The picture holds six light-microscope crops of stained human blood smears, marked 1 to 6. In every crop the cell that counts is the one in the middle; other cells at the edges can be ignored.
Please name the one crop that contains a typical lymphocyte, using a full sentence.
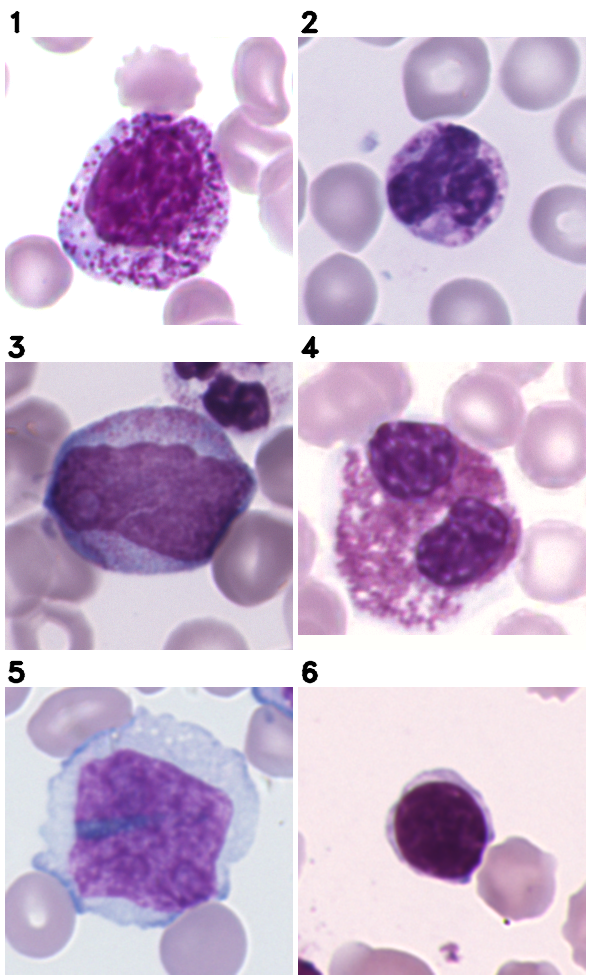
The crop marked 6 is the one in which a typical lymphocyte is shown.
